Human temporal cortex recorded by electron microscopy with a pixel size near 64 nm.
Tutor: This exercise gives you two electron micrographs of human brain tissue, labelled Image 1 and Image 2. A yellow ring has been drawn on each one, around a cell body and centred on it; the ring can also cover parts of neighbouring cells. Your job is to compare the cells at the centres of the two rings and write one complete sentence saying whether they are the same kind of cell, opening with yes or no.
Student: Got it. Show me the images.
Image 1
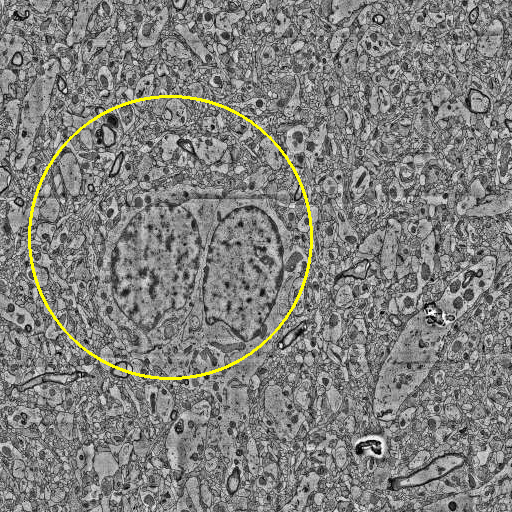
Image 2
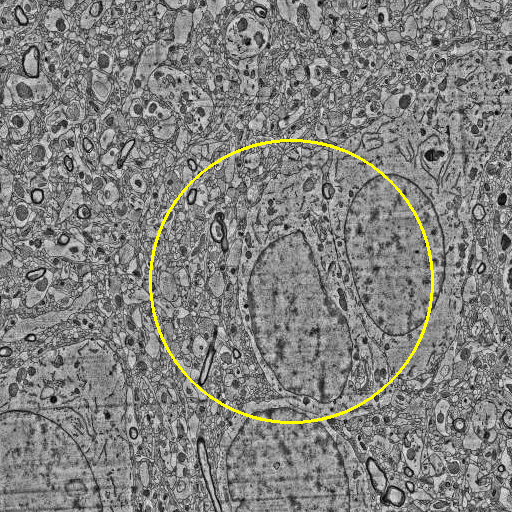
Yes, the two cells belong to the same kind.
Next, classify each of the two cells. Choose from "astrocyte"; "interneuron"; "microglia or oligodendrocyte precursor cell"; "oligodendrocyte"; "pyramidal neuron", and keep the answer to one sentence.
The ring centre holds an interneuron in each of the two pictures.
